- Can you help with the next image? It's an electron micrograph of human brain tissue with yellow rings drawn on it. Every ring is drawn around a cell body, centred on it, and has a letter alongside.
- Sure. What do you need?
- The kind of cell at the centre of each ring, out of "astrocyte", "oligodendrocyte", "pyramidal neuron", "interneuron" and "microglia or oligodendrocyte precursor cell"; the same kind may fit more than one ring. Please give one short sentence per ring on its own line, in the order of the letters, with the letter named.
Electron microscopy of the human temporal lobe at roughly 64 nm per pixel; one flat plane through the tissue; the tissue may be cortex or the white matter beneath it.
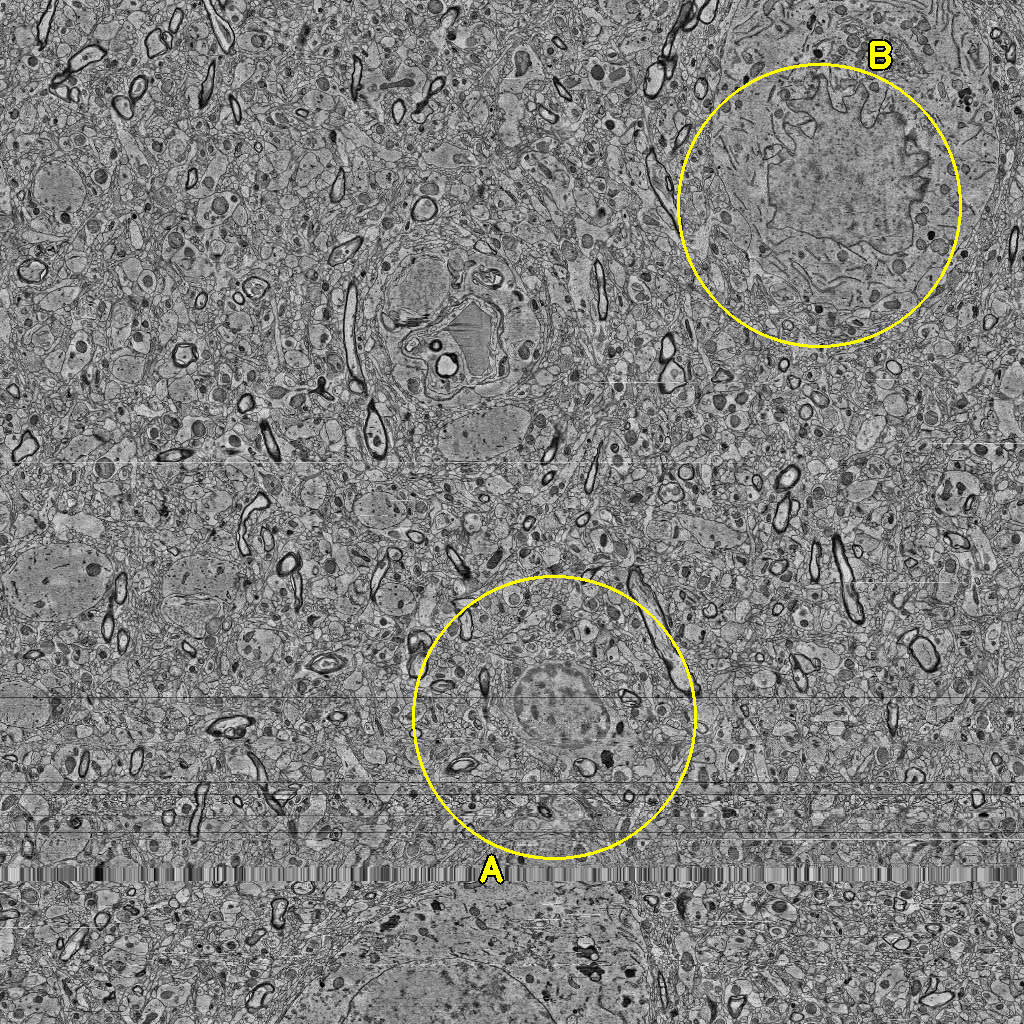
Ring A picks out an oligodendrocyte.
Ring B picks out an interneuron.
